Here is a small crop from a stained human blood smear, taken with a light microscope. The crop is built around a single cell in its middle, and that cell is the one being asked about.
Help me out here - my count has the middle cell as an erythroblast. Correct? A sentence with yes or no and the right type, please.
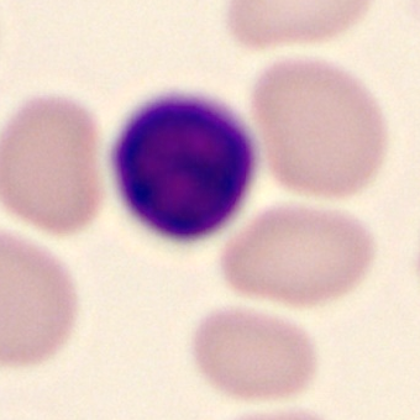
No, the central cell is a lymphocyte; it should not be labelled an erythroblast.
